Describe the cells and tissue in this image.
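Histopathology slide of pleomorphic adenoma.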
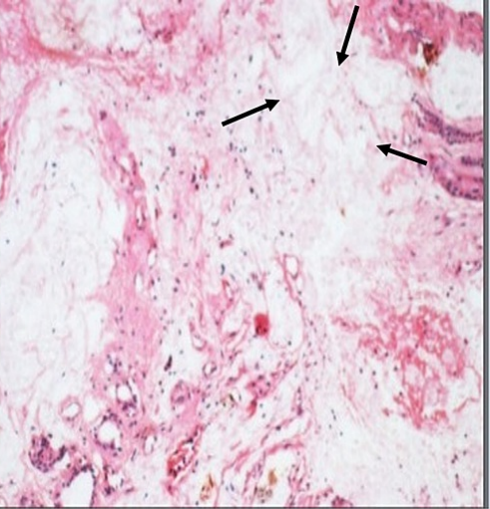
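This field is dominated by a myxoid area, where a pale, loose, wispy matrix fills much of the tissue. The matrix takes only a faint pink tint. It holds few, widely scattered small nuclei, so it looks almost empty compared with cellular tissue. Arrows point into this pale material. Along the right edge and lower part, small duct-like structures lined by cells with purple nuclei remain. Strands of pinker fibrous tissue run through the loose areas. A few brown pigment deposits are visible.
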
